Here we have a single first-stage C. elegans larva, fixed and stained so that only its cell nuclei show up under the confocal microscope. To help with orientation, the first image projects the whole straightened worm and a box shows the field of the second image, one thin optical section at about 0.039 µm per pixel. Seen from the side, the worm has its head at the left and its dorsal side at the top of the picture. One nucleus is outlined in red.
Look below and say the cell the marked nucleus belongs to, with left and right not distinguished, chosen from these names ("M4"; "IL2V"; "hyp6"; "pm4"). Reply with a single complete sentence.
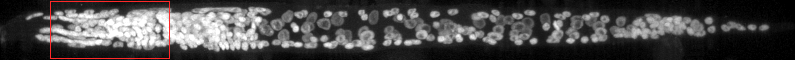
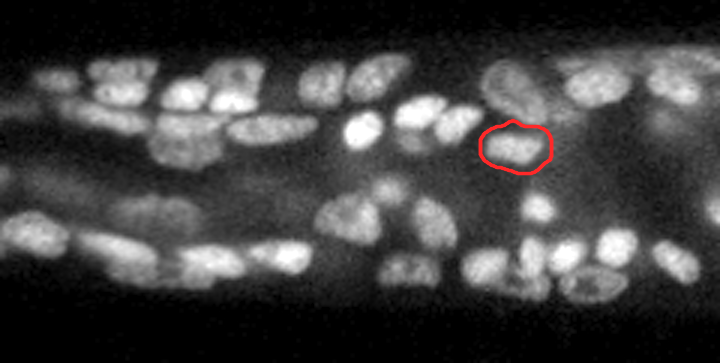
This is the nucleus of M4, a neuron.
